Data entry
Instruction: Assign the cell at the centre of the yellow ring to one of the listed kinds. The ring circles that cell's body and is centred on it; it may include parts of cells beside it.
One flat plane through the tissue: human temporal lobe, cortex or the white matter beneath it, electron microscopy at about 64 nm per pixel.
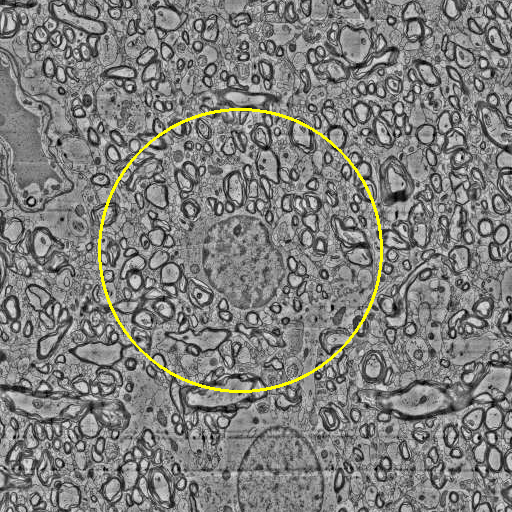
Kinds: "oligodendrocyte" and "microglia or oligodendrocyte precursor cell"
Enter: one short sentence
The centre of the ring falls on an oligodendrocyte.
